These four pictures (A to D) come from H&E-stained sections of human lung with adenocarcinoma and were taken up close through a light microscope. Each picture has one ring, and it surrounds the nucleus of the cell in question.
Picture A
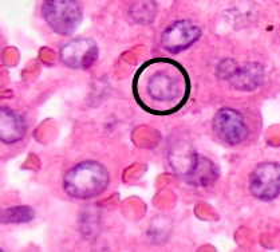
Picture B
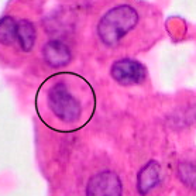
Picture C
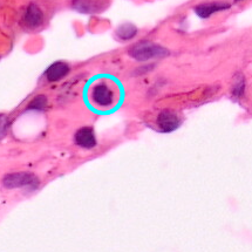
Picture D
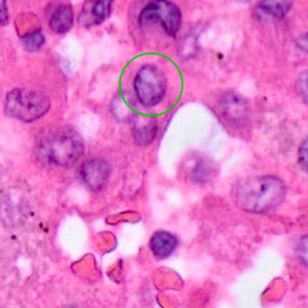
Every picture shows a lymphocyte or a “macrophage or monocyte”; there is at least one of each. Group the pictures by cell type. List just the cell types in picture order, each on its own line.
macrophage or monocyte
macrophage or monocyte
lymphocyte
macrophage or monocyte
